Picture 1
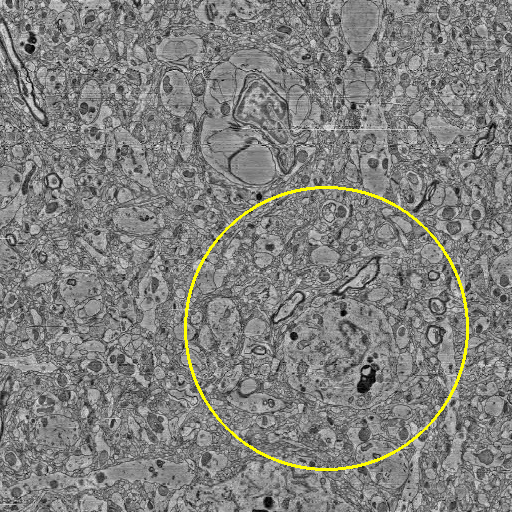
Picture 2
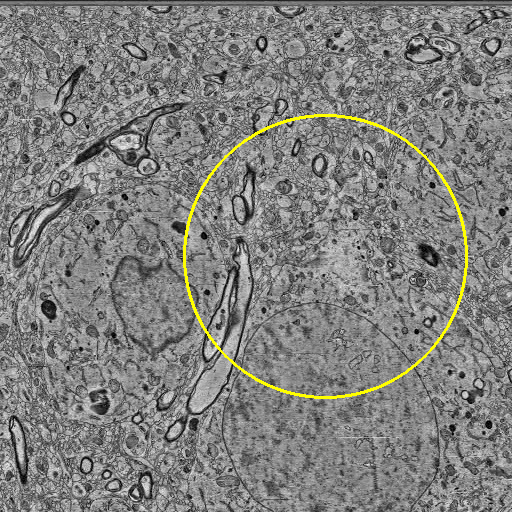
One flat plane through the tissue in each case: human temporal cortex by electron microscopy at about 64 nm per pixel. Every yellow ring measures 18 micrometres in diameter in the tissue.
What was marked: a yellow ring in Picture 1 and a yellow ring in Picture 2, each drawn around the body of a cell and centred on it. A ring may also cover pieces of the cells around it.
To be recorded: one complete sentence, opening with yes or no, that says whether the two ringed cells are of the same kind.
No, the two ringed cells are of two kinds.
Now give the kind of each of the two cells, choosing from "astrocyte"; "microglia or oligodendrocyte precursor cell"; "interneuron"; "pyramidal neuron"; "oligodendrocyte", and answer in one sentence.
The cell in the first picture is an interneuron, and the cell in the second is an oligodendrocyte.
